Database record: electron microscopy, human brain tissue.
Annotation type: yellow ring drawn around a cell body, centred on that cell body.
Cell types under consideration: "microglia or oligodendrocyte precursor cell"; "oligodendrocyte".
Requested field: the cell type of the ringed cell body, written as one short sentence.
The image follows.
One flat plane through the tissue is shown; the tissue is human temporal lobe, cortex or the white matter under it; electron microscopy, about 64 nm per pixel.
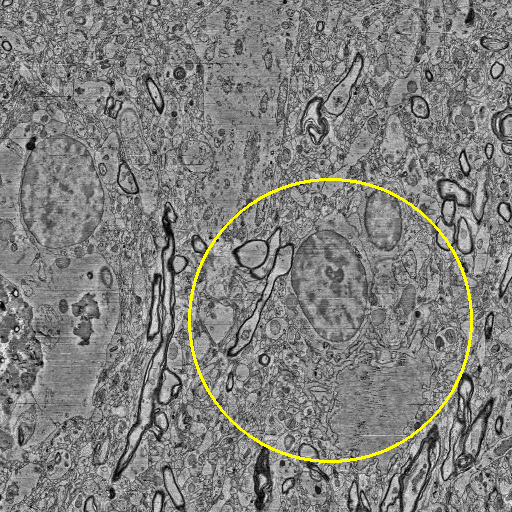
The ringed cell body represents an oligodendrocyte.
